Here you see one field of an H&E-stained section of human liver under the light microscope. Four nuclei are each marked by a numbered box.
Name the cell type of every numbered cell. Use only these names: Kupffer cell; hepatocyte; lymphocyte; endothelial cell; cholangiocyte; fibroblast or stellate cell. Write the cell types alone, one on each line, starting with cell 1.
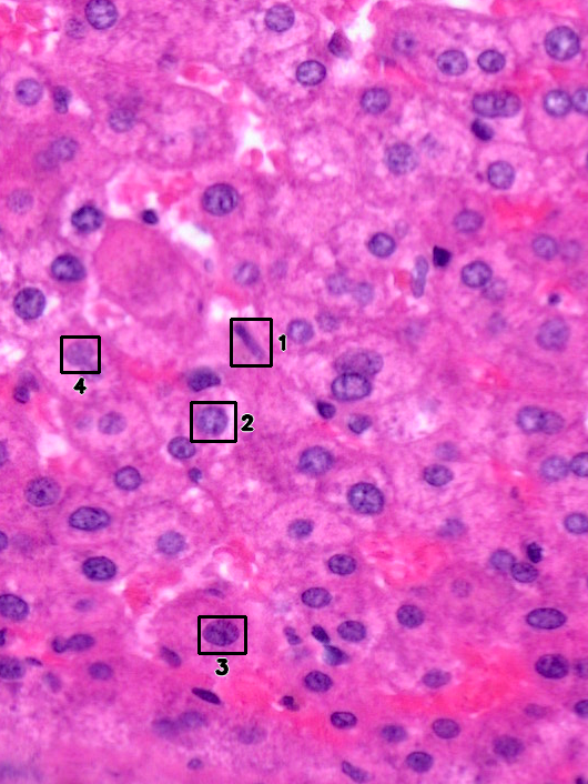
Kupffer cell
hepatocyte
hepatocyte
hepatocyte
